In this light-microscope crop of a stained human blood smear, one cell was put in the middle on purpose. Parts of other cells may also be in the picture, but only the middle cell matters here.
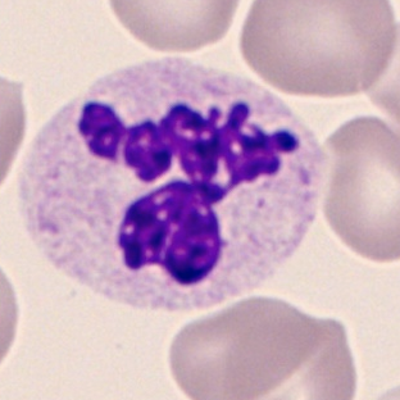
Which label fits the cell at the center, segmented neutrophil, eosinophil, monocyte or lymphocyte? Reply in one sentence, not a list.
The middle of this crop is occupied by a segmented neutrophil.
